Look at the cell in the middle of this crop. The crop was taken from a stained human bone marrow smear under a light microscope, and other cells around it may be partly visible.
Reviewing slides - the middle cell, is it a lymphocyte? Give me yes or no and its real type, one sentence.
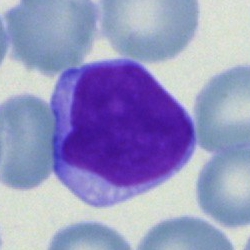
Yes, the middle cell here is a lymphocyte.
